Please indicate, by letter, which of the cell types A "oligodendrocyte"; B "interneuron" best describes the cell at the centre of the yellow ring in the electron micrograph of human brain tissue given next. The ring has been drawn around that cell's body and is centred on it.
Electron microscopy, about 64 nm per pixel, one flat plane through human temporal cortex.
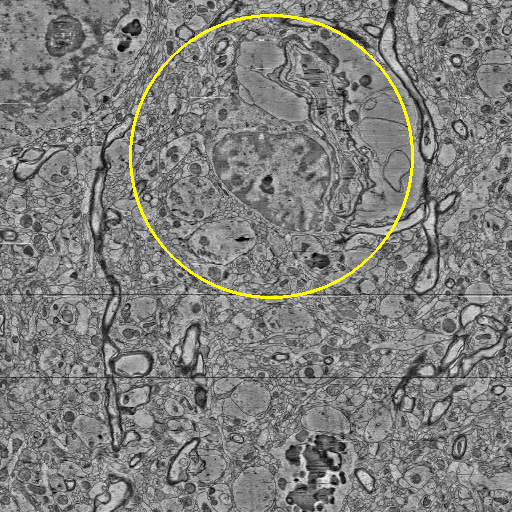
A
